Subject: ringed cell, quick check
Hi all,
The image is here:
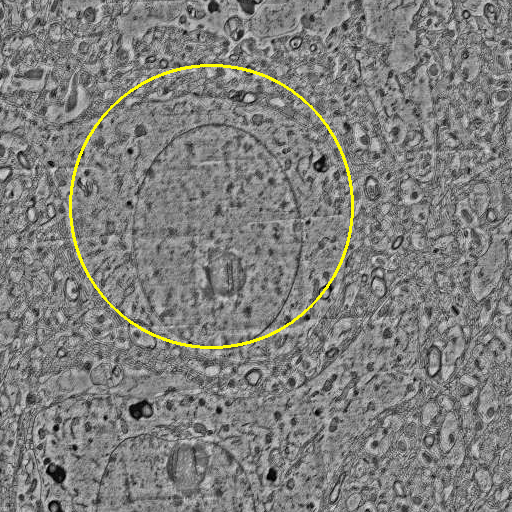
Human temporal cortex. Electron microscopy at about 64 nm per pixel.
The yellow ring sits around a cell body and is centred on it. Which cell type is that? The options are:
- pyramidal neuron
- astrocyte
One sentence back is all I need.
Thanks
That ringed cell is a pyramidal neuron.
